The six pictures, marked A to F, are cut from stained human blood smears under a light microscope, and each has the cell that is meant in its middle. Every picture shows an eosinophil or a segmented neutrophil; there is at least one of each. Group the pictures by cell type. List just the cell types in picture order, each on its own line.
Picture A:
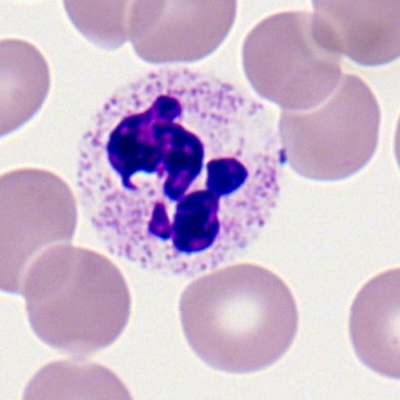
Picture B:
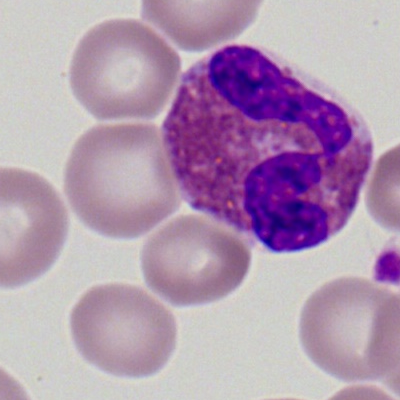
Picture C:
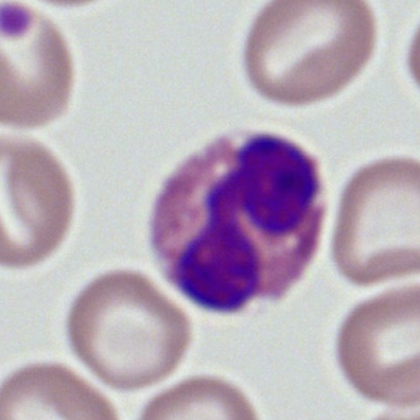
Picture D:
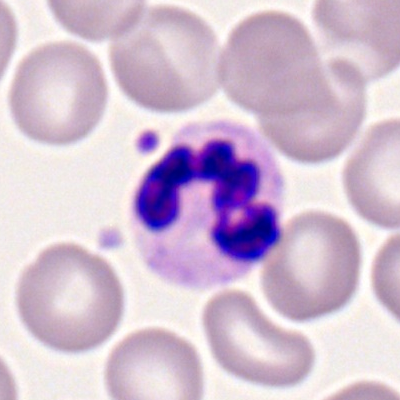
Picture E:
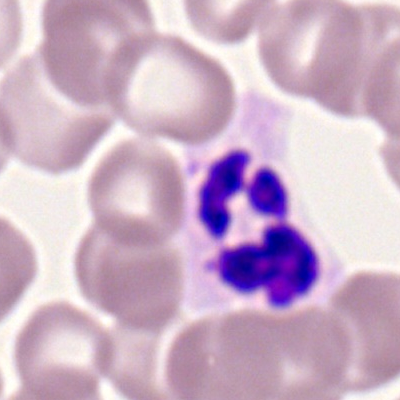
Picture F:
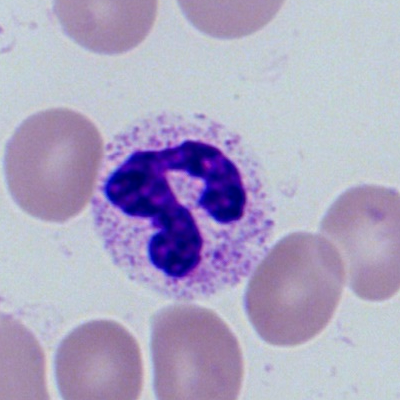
segmented neutrophil
eosinophil
eosinophil
segmented neutrophil
segmented neutrophil
segmented neutrophil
